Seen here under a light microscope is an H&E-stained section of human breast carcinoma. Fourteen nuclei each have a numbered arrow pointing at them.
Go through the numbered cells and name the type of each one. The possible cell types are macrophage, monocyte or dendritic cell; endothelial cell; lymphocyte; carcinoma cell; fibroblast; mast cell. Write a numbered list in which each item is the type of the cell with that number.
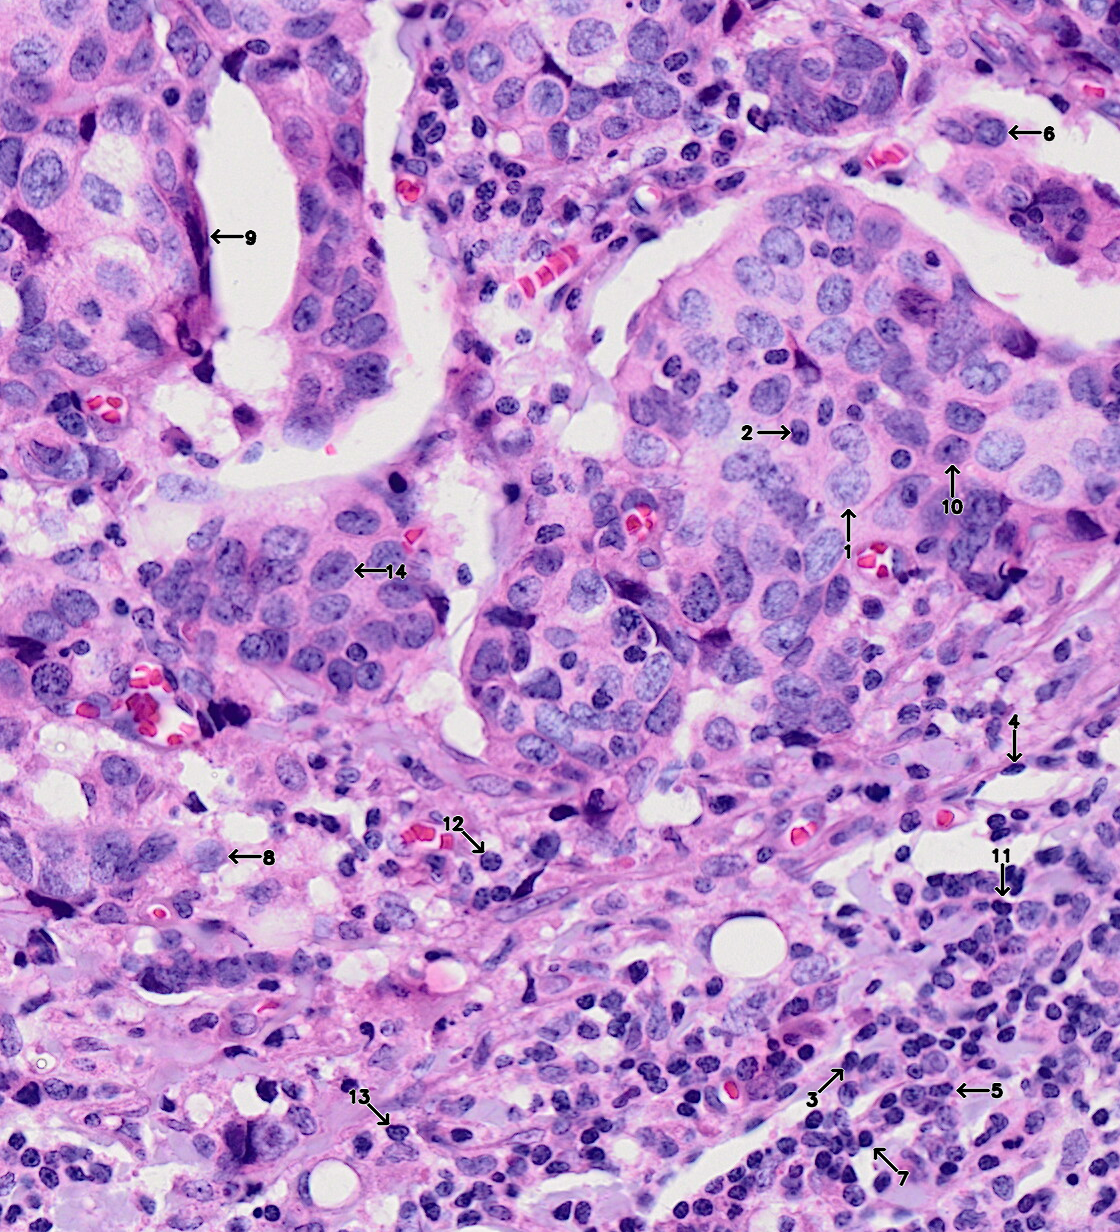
1. carcinoma cell
2. lymphocyte
3. lymphocyte
4. lymphocyte
5. lymphocyte
6. carcinoma cell
7. lymphocyte
8. carcinoma cell
9. carcinoma cell
10. carcinoma cell
11. lymphocyte
12. lymphocyte
13. lymphocyte
14. carcinoma cell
